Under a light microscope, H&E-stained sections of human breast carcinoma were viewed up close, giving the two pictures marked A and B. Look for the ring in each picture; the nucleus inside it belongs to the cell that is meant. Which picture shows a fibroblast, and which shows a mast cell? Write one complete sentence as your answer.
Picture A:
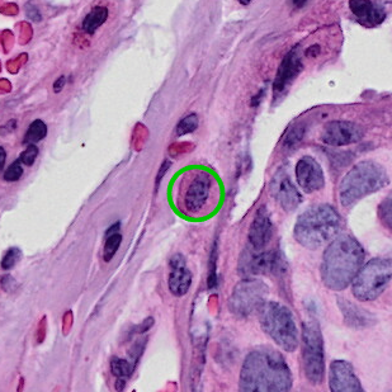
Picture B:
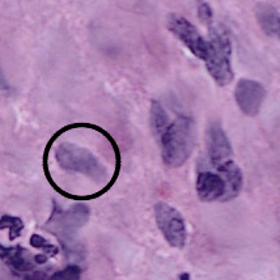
Picture B shows a fibroblast, while picture A shows a mast cell.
